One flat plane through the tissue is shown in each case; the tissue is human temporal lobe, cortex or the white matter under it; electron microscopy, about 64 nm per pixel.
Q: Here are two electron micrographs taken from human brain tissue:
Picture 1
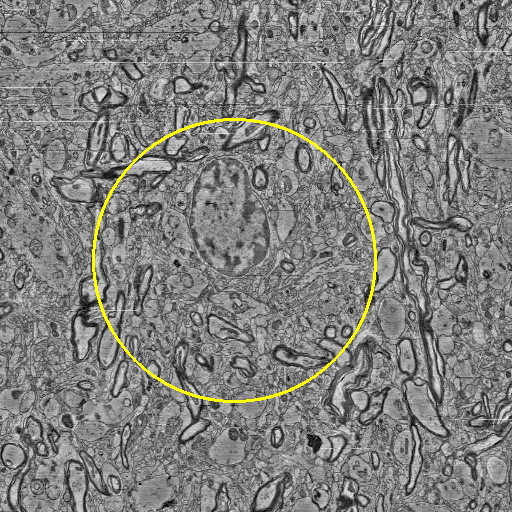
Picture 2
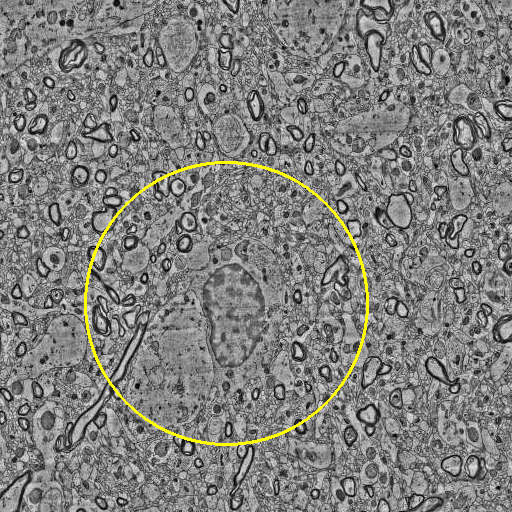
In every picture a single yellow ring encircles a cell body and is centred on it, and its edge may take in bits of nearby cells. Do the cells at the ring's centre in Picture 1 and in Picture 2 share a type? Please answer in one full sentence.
No, the cells at the ring's centre in Picture 1 and Picture 2 are of two types.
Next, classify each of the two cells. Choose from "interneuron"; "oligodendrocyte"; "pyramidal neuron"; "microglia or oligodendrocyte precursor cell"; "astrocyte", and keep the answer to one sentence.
In the first picture it is a microglial cell or oligodendrocyte precursor cell; in the second it is an oligodendrocyte.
